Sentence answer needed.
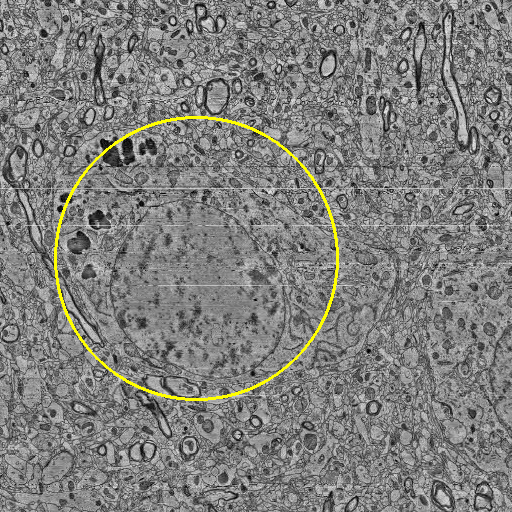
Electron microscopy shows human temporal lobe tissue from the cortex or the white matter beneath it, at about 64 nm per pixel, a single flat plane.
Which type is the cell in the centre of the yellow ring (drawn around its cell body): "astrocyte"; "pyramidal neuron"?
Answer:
In the centre of the yellow ring is a pyramidal neuron.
